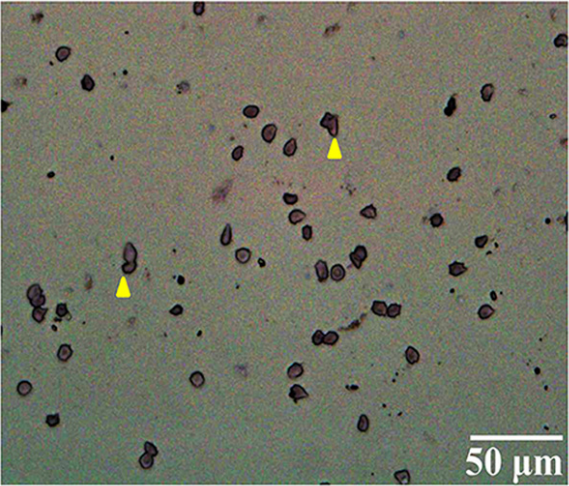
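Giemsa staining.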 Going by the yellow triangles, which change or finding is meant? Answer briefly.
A: deformed erythrocytes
